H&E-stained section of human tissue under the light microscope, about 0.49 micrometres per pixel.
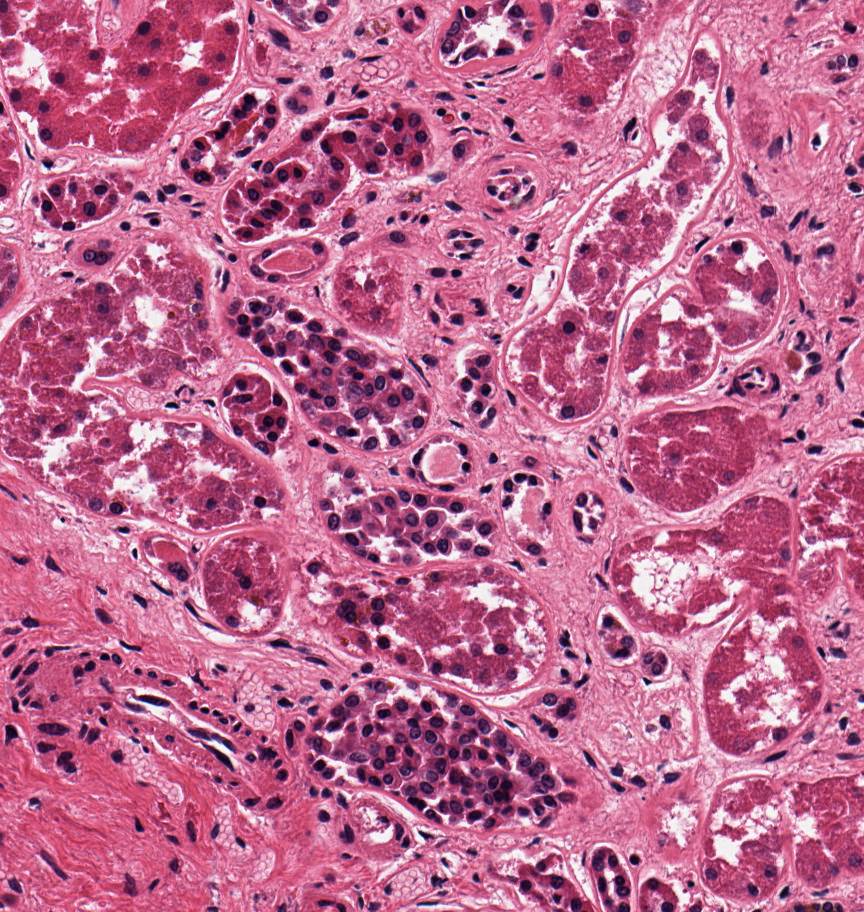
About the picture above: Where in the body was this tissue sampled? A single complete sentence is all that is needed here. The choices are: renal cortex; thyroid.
This tissue specimen derives from the renal cortex.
